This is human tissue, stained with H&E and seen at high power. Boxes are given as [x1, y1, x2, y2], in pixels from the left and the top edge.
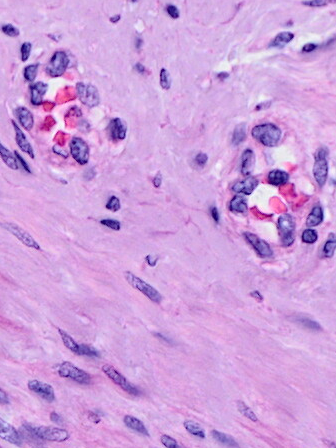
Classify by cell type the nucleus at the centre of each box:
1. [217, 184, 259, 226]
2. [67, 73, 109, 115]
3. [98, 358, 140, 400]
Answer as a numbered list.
1. endothelial cell
2. endothelial cell
3. smooth muscle cell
